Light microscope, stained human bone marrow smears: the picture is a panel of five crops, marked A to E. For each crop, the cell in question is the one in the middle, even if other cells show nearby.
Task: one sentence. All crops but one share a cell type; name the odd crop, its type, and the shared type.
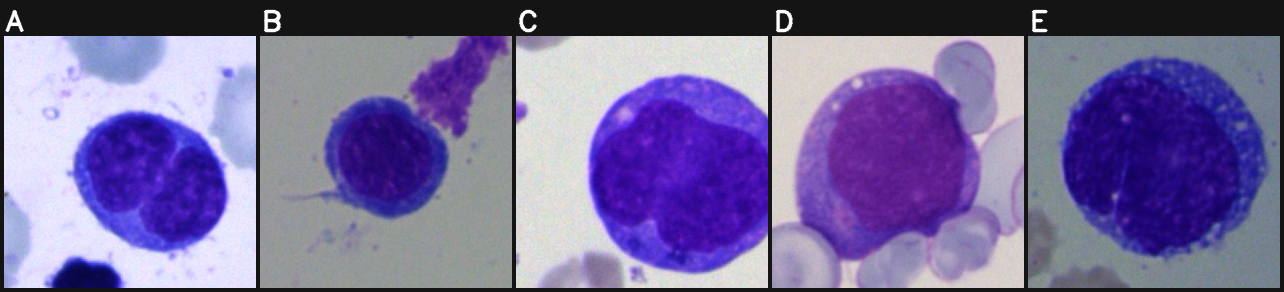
The different crop is crop B, an erythroblast; all the others show blasts.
